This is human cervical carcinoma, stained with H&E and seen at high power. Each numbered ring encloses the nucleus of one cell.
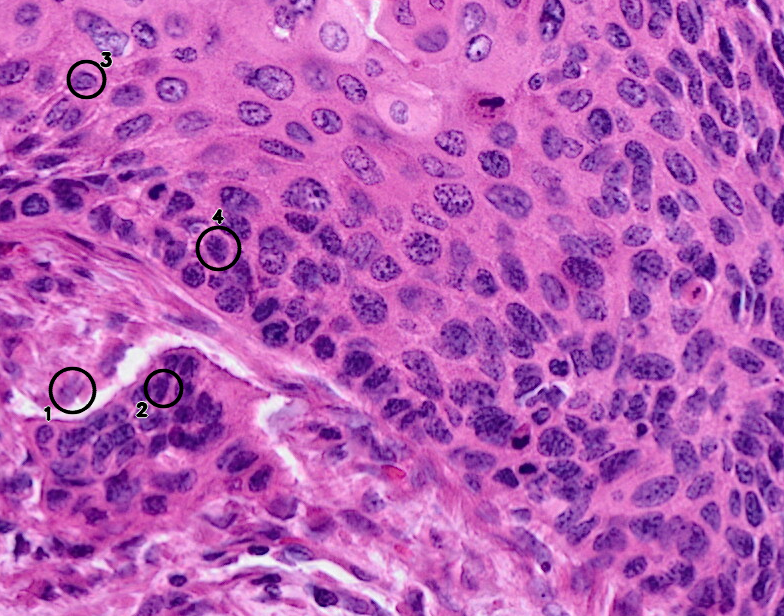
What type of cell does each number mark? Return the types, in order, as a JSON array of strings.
["fibroblast", "squamous carcinoma cell", "squamous carcinoma cell", "squamous carcinoma cell"]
